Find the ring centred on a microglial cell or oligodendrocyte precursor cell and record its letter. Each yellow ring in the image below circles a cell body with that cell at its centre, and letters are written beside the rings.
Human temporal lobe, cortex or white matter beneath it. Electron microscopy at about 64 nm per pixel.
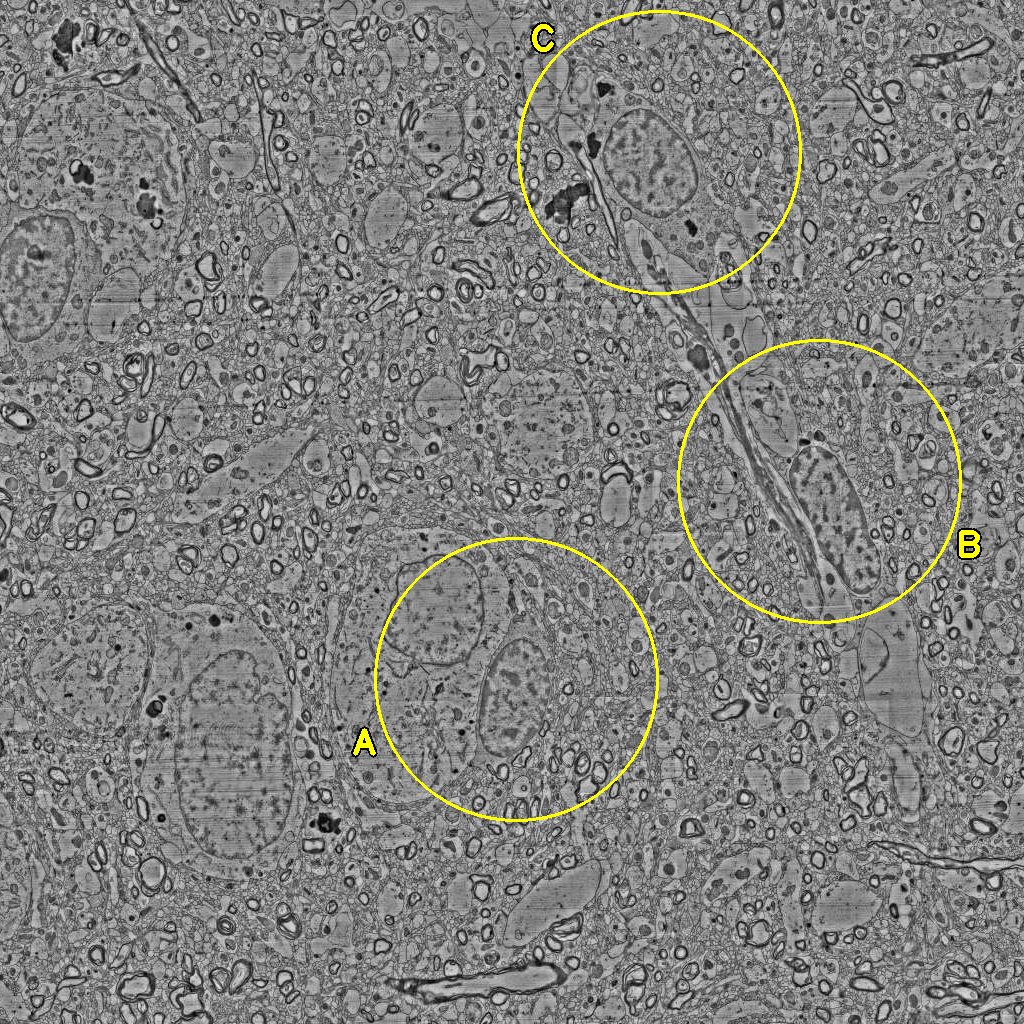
B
